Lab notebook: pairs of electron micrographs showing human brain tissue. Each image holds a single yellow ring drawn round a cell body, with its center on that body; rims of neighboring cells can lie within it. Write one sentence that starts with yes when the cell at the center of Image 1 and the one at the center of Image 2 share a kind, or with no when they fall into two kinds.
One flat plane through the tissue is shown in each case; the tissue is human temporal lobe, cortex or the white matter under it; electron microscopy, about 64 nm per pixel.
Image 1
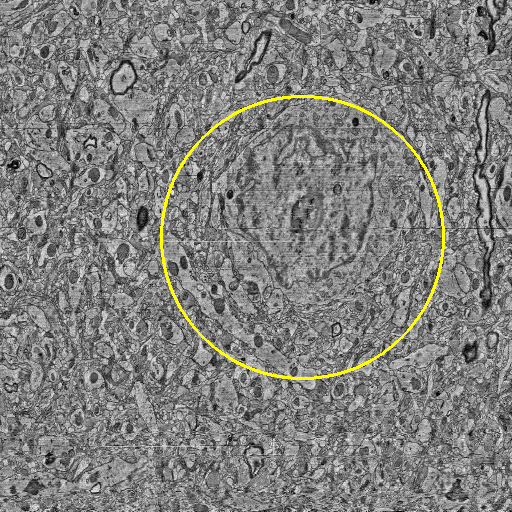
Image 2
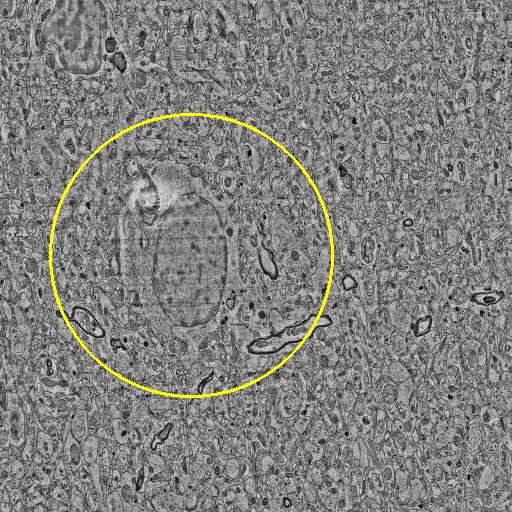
No, the centered cell in Image 1 and the centered cell in Image 2 are of two kinds.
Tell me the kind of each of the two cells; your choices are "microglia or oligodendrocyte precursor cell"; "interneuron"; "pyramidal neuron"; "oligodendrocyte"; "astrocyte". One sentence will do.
The ringed cell is an interneuron in the first picture and an astrocyte in the second picture.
